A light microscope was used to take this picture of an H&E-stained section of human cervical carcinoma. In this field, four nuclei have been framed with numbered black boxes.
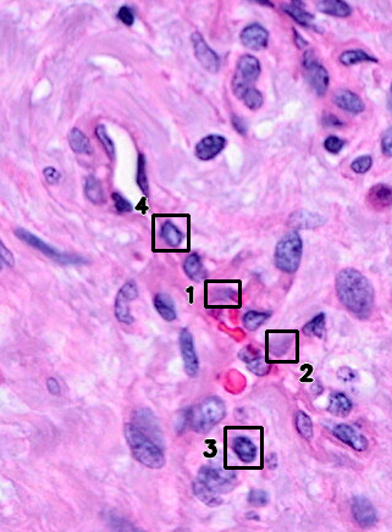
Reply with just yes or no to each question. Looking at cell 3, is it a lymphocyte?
yes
